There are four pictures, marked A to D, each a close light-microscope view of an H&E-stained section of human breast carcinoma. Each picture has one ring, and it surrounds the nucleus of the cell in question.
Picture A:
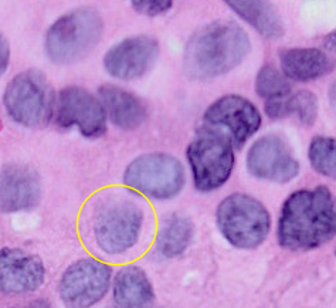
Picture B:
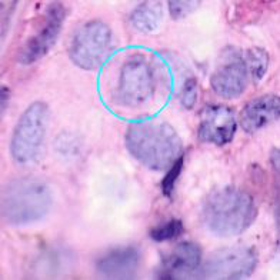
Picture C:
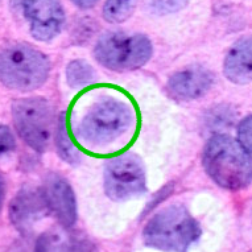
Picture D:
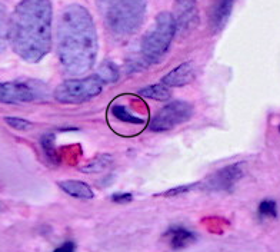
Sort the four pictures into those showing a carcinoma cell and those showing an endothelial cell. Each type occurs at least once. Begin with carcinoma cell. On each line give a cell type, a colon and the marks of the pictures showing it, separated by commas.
carcinoma cell: A, B, C
endothelial cell: D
